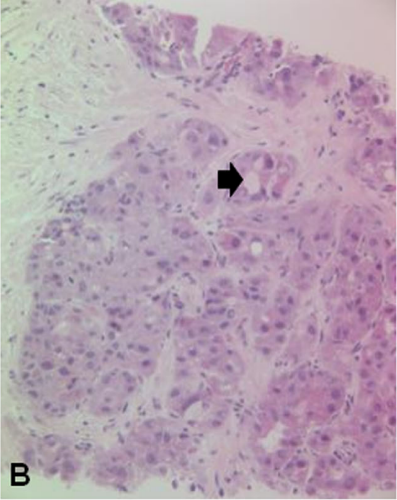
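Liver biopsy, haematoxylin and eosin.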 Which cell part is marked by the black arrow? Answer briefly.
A: Intra-cytoplasmic pale bodies.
